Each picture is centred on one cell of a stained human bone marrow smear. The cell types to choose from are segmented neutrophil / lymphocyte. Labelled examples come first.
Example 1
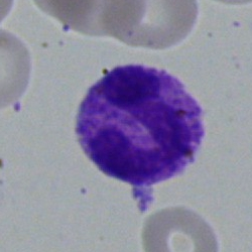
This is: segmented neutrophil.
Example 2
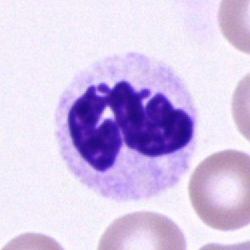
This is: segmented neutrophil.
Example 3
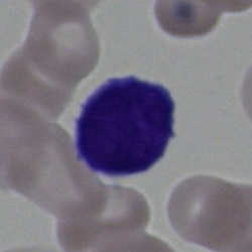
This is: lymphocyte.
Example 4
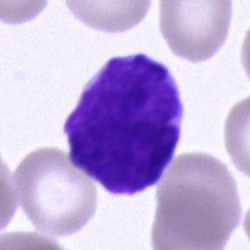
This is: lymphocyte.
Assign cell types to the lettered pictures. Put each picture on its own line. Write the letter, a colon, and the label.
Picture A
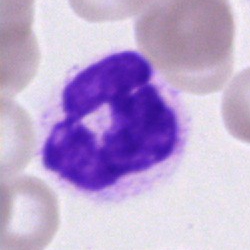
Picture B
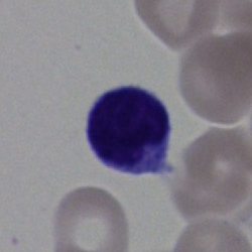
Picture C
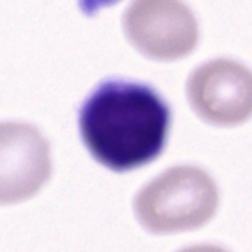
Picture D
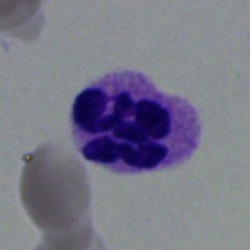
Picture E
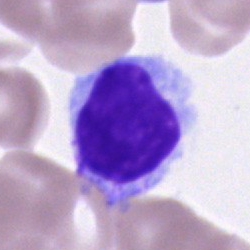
A: segmented neutrophil.
B: lymphocyte.
C: lymphocyte.
D: segmented neutrophil.
E: lymphocyte.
